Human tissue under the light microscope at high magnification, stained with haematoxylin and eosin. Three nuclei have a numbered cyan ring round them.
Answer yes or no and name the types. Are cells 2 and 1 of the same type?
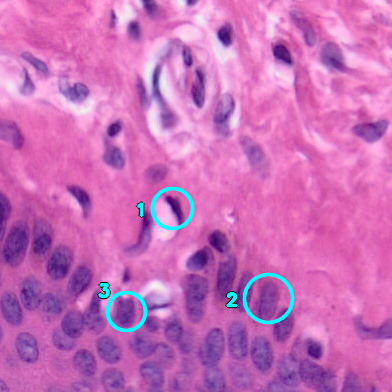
No, cell 2 is a basal keratinocyte, and cell 1 is, by contrast, a fibroblast.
